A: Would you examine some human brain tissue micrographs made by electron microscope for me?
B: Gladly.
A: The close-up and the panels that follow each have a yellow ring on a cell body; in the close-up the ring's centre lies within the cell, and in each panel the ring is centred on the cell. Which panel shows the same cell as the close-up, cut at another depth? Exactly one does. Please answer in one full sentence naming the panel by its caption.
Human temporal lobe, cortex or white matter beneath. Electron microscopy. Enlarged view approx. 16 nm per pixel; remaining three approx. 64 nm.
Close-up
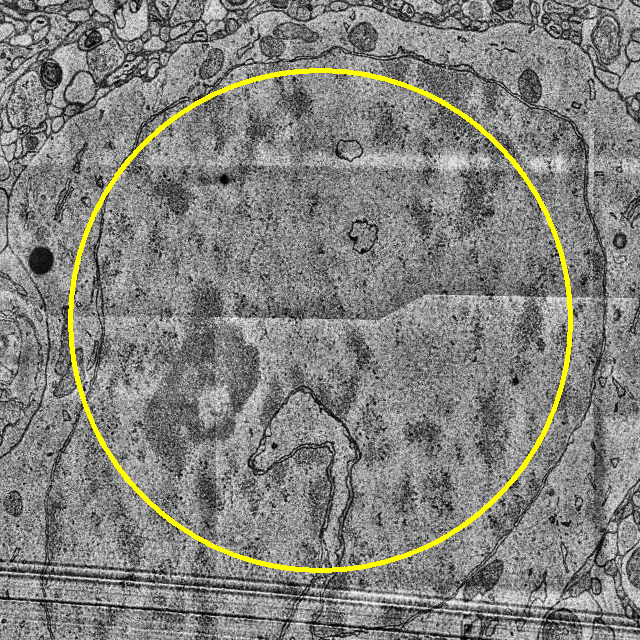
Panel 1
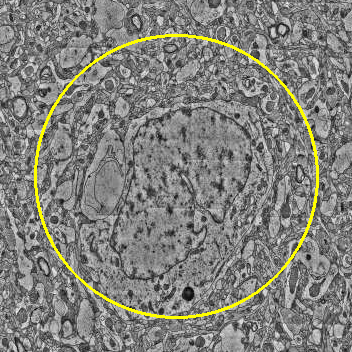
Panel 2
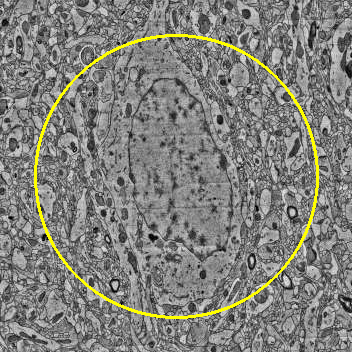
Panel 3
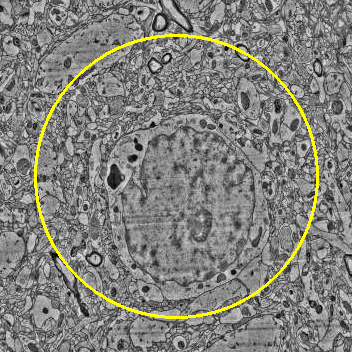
The cell chosen for the close-up is marked in Panel 1.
